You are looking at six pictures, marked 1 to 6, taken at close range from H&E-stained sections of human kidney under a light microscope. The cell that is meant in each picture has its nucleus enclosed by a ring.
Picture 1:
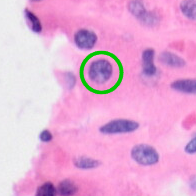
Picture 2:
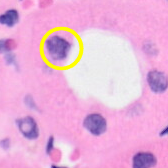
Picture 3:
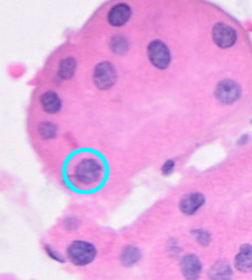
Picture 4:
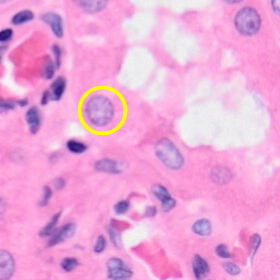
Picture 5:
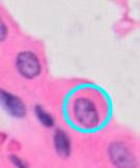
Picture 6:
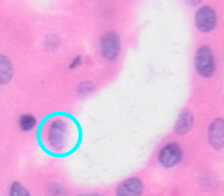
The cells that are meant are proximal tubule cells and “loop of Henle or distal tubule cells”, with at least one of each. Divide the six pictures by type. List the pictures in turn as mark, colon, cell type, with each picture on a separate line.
1: loop of Henle or distal tubule cell
2: loop of Henle or distal tubule cell
3: proximal tubule cell
4: proximal tubule cell
5: proximal tubule cell
6: loop of Henle or distal tubule cell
